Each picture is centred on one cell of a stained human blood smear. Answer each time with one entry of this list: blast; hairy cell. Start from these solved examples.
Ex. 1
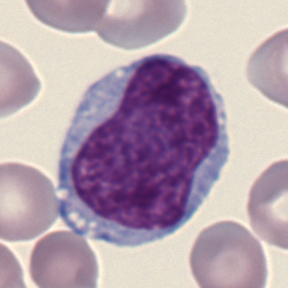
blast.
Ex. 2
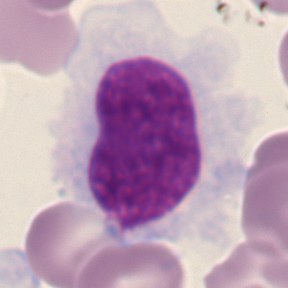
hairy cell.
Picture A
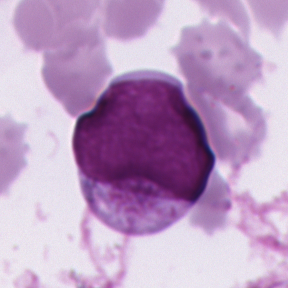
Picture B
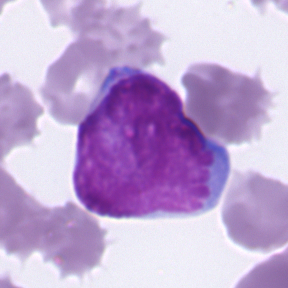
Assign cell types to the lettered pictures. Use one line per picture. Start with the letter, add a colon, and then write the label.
A: blast.
B: blast.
